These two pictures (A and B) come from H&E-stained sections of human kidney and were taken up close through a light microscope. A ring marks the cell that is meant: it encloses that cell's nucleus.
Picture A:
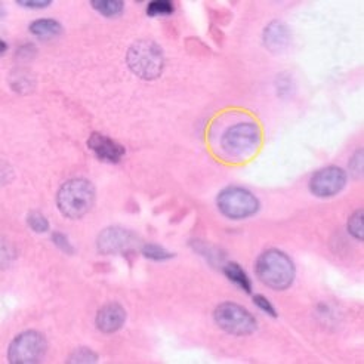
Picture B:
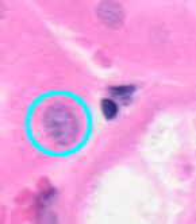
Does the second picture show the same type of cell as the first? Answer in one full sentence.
No; the cell in picture A is a collecting duct cell, while the one in picture B is a proximal tubule cell.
